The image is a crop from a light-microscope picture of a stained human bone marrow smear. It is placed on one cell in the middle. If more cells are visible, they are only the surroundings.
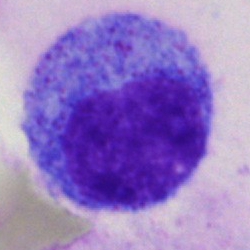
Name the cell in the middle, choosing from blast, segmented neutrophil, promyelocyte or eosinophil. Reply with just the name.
promyelocyte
